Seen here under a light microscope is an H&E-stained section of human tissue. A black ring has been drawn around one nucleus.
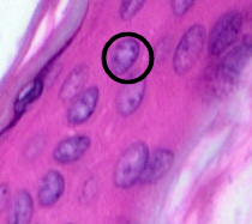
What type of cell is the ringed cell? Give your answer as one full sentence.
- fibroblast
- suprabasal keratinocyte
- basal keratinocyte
This is a suprabasal keratinocyte.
